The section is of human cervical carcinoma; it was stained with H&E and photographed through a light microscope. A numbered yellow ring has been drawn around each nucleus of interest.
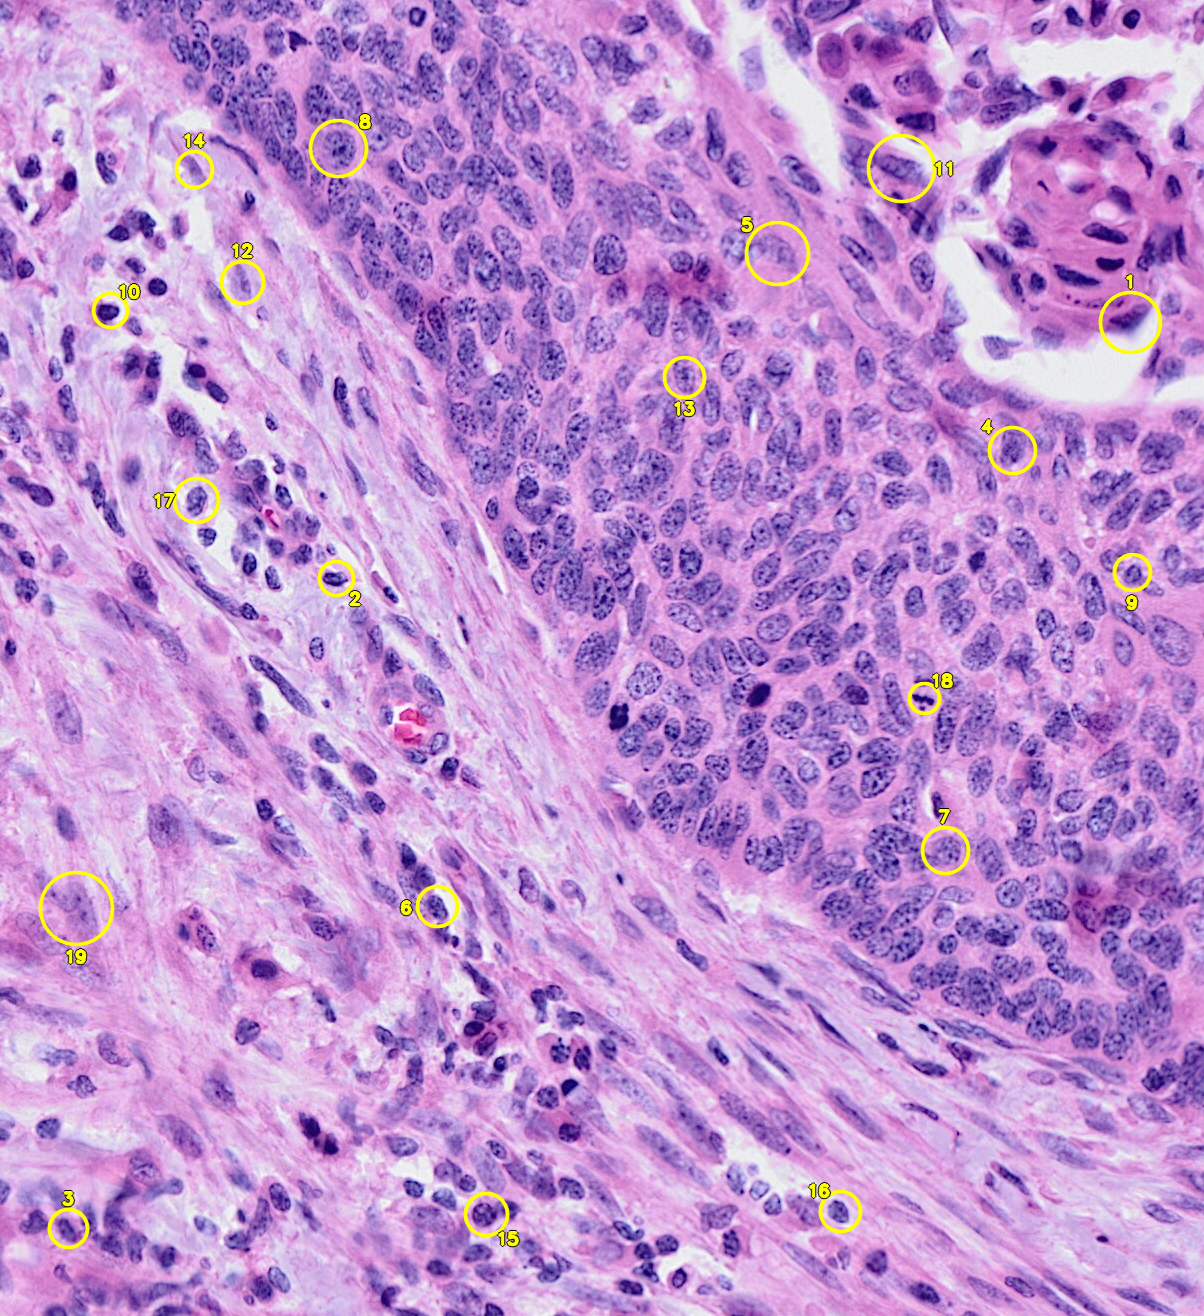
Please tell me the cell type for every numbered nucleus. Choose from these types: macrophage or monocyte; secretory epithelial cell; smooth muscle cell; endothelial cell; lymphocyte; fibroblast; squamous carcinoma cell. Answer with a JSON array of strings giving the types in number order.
["squamous carcinoma cell", "lymphocyte", "lymphocyte", "squamous carcinoma cell", "squamous carcinoma cell", "lymphocyte", "squamous carcinoma cell", "squamous carcinoma cell", "squamous carcinoma cell", "lymphocyte", "squamous carcinoma cell", "fibroblast", "squamous carcinoma cell", "fibroblast", "lymphocyte", "lymphocyte", "lymphocyte", "squamous carcinoma cell", "fibroblast"]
